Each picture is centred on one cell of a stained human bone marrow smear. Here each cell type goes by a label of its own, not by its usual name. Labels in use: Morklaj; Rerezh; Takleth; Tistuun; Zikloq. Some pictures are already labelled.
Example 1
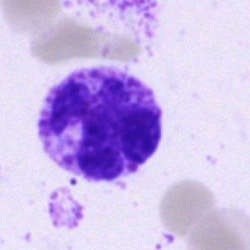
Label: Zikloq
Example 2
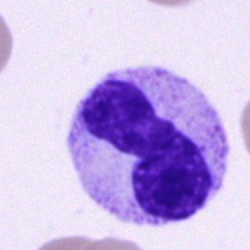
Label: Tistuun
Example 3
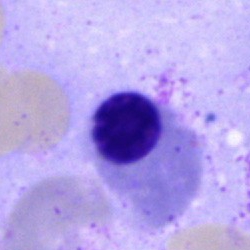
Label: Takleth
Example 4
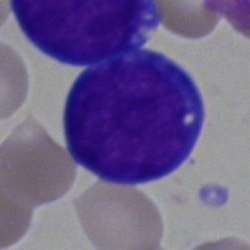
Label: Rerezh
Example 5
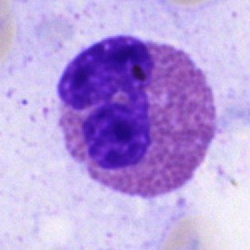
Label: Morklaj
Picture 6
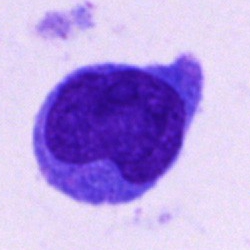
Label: Rerezh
